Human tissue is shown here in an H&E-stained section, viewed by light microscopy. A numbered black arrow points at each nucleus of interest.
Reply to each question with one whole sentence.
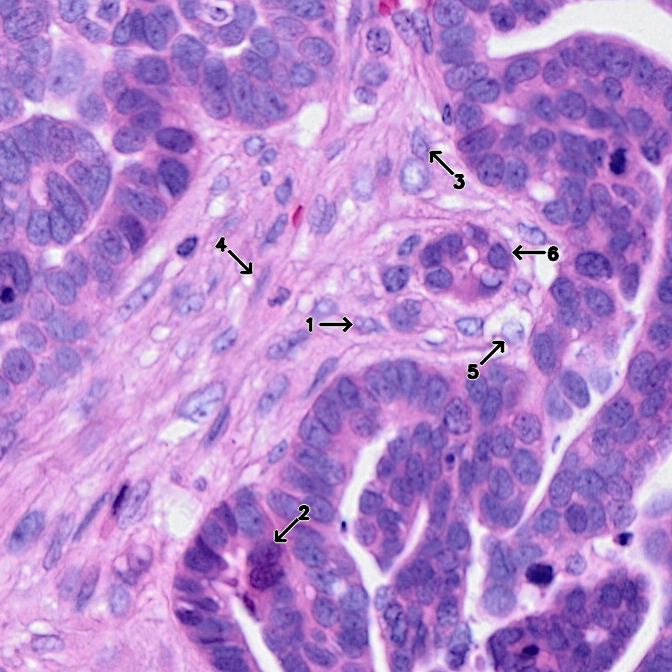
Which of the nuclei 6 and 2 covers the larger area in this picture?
The larger nucleus is 2, at roughly 1.5 times the area of 6.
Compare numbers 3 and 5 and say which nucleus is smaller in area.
It is nucleus 5; nucleus 3 has about 1.5 times its area.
